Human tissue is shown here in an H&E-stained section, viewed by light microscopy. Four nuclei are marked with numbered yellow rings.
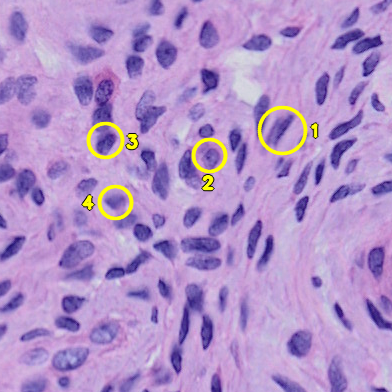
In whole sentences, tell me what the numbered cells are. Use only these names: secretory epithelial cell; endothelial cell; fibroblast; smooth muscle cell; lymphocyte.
Cells 1, 3 and 4 are fibroblasts. Cell 2 is an endothelial cell.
